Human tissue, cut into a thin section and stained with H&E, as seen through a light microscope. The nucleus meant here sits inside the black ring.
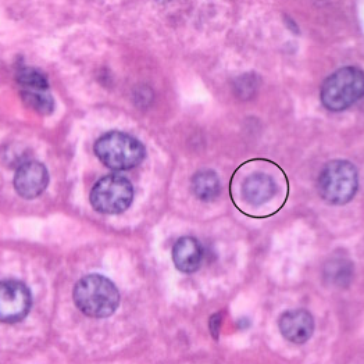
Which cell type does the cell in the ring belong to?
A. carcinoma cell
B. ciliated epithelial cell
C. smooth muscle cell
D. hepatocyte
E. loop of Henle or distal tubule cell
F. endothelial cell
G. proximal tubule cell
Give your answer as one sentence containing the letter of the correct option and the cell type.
Under option D, the cell in the ring is a hepatocyte, which is the correct identification.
